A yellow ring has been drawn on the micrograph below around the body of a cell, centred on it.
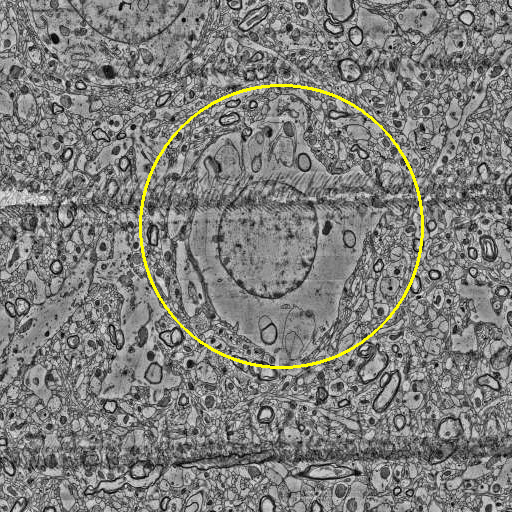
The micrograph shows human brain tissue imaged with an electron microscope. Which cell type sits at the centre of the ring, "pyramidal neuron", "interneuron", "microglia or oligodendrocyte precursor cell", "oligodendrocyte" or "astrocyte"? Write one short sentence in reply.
The cell sitting at the centre of the ring is an astrocyte.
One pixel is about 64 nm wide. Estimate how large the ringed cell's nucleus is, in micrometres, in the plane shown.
In this plane, roughly 8 by 6 micrometres.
